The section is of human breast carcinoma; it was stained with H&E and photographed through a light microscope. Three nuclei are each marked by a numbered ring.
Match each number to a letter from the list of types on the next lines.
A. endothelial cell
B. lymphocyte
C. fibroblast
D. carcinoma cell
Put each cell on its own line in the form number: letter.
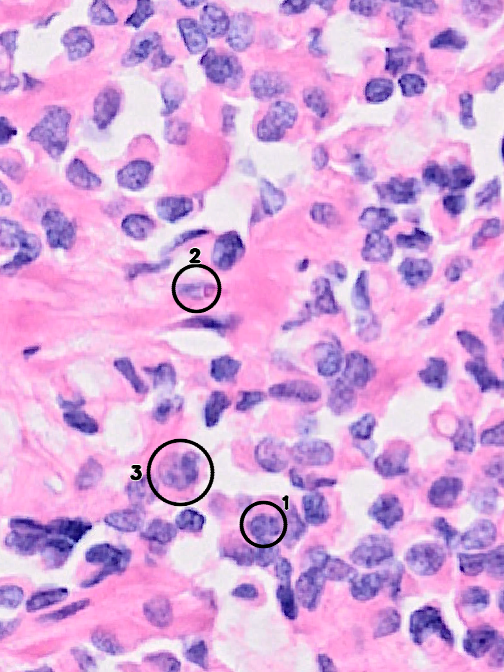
1: D
2: A
3: D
